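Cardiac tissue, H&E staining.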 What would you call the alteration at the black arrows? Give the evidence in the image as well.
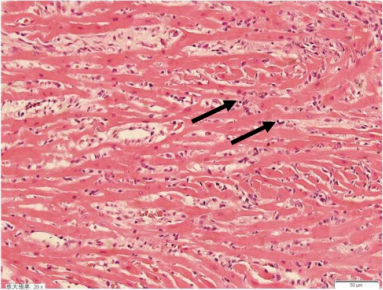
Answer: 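The arrows point into spaces between the pink muscle fibres. Many small, dark purple nuclei lie scattered between the fibres there.
Answer: inflammatory infiltration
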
